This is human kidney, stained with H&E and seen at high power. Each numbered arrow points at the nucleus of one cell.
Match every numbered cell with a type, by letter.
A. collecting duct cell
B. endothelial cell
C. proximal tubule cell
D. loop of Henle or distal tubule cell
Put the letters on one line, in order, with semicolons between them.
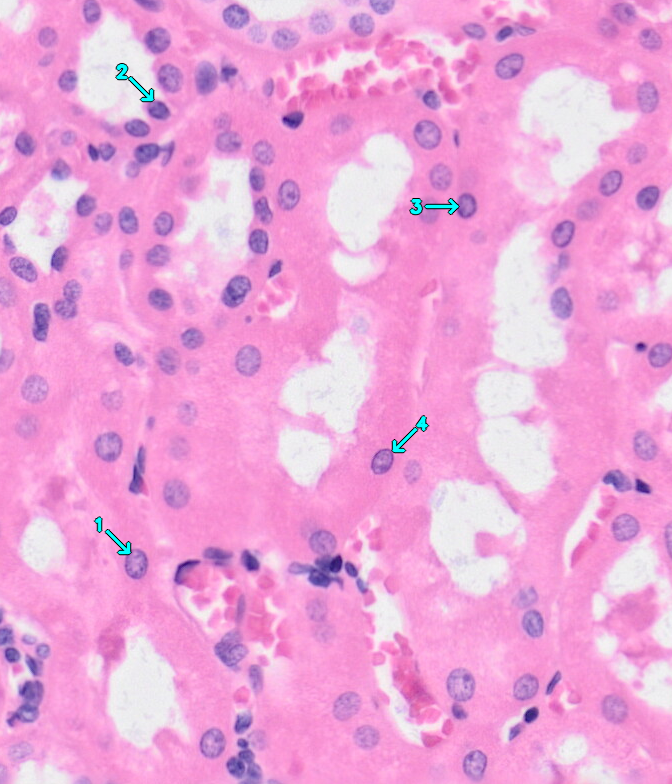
C; D; C; C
